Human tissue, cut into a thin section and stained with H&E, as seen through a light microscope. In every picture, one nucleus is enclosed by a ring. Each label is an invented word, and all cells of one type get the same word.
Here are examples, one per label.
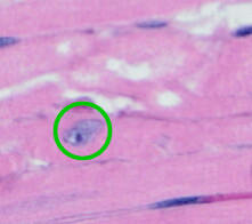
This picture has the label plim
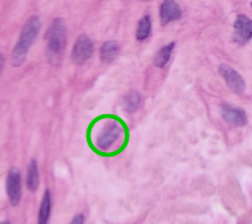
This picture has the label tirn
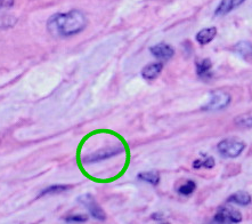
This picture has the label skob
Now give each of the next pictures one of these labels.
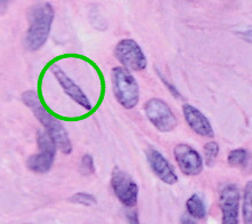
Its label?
skob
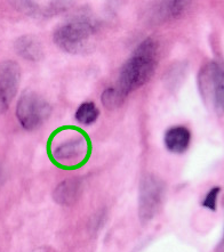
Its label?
skob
